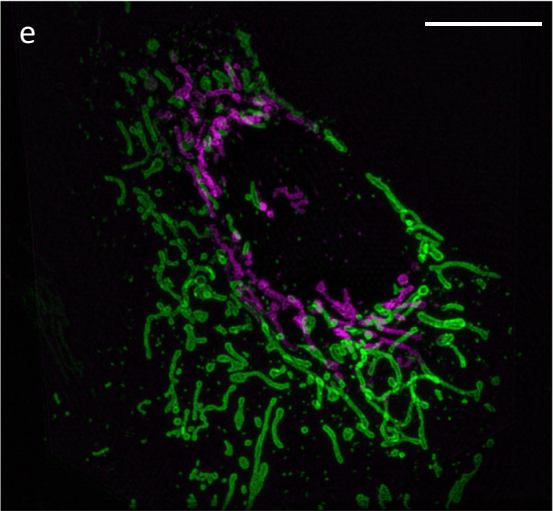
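A single spread cell seen from above, its mitochondria shown as tubular threads and small round bodies in green and magenta. A large dark oval area in the middle, most likely the nucleus, is largely free of them. The magenta threads cluster more tightly around this central area, while the green threads reach further out into the flat periphery of the cell. Many threads are branched or curved, and scattered short rods and dots lie towards the cell margins.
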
